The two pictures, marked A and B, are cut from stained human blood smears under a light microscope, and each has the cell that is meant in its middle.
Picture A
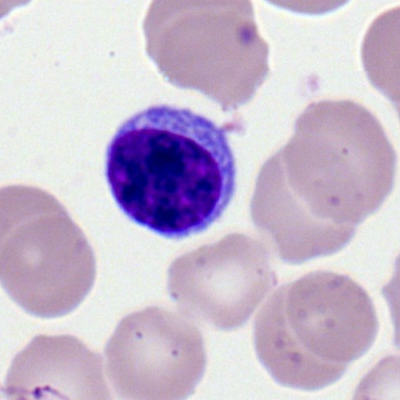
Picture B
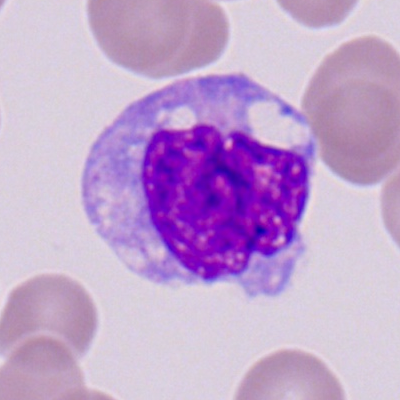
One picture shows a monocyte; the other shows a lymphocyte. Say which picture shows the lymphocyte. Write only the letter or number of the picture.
A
